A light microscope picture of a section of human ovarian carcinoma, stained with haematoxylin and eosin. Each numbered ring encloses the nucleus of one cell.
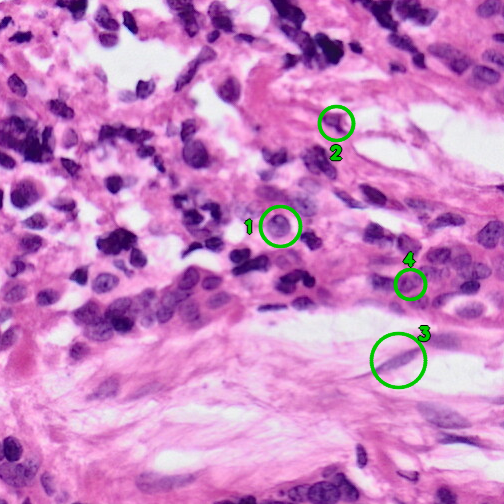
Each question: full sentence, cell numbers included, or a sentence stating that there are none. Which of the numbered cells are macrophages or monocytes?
Of the marked cells, the one numbered 1 is a macrophage or monocyte and the rest are not.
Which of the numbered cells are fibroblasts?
Identification: the cells with numbers 2 and 3 are fibroblasts.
